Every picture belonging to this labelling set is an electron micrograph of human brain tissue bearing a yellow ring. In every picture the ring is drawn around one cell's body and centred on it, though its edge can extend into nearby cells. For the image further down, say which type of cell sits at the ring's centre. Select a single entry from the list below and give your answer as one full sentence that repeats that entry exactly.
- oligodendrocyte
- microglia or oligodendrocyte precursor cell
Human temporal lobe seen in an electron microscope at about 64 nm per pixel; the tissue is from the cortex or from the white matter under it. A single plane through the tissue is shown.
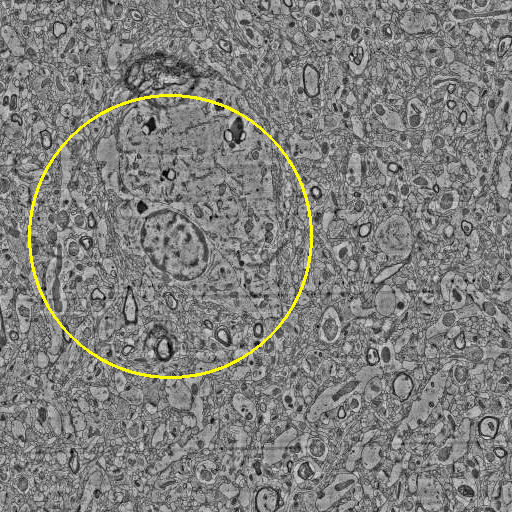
In the picture, a microglial cell or oligodendrocyte precursor cell is the cell at the centre of the yellow ring.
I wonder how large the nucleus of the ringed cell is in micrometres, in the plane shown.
The nucleus is approximately 5 micrometers long by 4 micrometers wide in this plane.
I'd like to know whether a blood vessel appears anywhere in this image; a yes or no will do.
No, no vessel shows anywhere in the image.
